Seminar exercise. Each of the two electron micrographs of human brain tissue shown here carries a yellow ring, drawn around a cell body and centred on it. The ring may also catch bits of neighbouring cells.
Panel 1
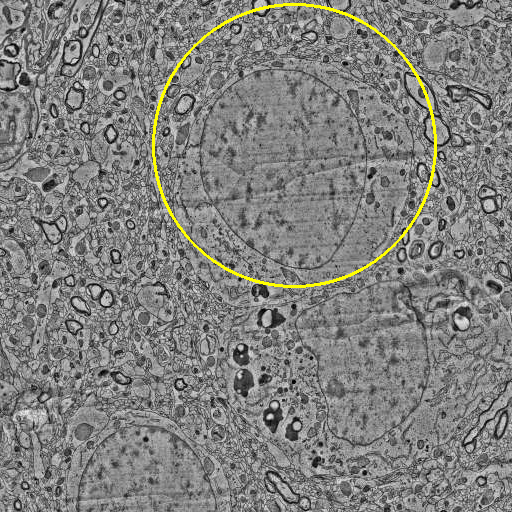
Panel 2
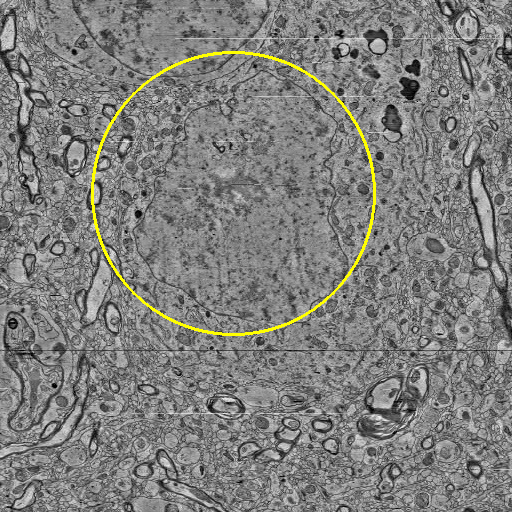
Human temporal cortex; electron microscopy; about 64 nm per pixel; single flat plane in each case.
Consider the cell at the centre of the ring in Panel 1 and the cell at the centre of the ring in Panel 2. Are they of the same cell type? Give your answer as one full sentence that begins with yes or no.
Yes, both cells are of the same type.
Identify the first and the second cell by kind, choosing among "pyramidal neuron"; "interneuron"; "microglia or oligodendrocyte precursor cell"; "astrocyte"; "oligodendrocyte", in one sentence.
Each of the two rings surrounds a pyramidal neuron.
